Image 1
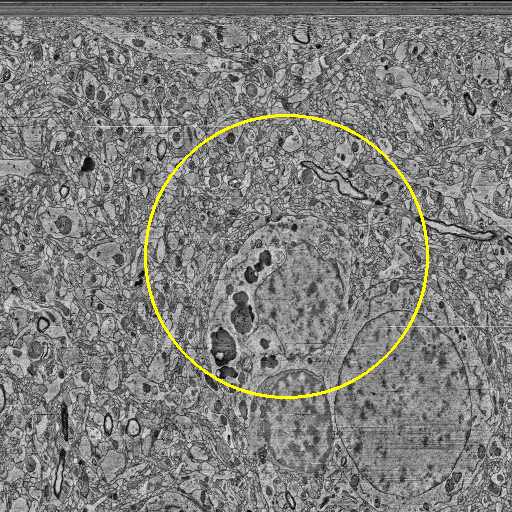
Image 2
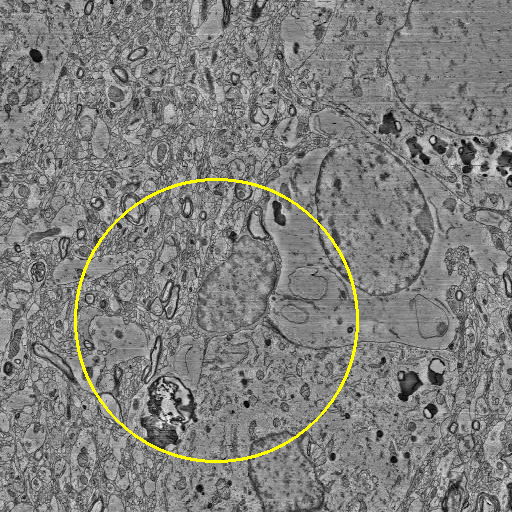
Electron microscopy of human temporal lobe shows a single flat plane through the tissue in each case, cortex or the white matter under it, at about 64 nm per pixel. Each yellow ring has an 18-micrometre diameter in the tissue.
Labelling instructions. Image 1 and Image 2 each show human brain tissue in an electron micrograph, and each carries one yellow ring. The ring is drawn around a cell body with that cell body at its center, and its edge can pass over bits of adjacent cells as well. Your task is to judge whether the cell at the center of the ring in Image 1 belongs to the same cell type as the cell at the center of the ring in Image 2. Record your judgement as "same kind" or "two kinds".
two kinds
